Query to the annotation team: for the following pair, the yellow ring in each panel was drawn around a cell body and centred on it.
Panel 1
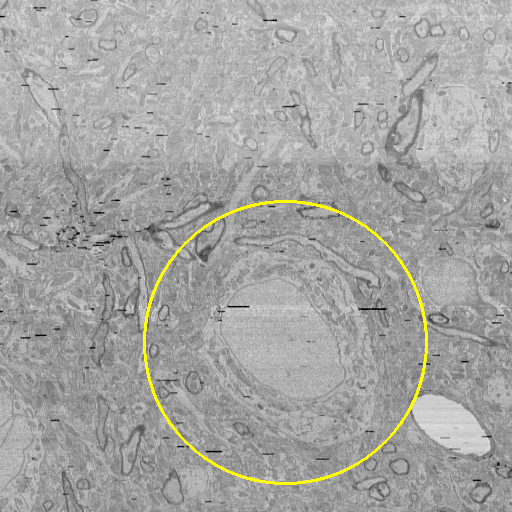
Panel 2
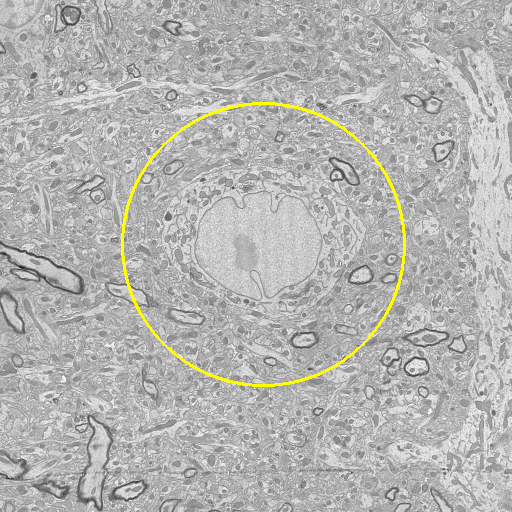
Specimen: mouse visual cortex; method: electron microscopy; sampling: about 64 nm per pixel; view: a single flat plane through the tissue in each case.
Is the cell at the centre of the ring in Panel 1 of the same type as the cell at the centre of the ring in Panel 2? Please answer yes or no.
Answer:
yes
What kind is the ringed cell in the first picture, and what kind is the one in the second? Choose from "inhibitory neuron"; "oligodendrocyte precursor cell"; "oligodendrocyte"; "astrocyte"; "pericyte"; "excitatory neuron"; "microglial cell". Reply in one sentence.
The ring centre holds an inhibitory neuron in each of the two pictures.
